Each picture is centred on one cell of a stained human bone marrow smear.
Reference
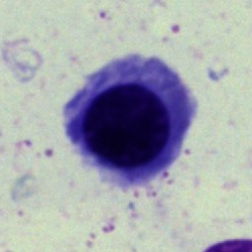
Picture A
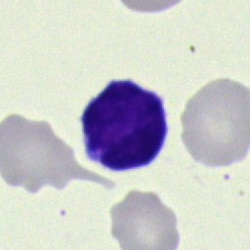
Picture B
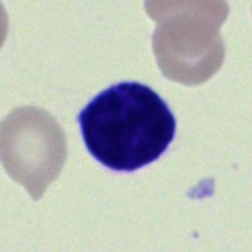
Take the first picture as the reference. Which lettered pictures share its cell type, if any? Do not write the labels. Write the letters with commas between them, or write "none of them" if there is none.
none of them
